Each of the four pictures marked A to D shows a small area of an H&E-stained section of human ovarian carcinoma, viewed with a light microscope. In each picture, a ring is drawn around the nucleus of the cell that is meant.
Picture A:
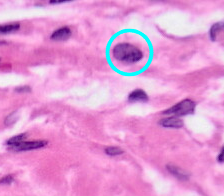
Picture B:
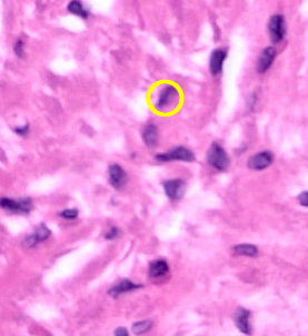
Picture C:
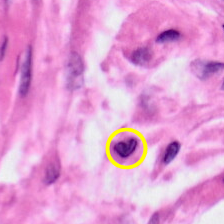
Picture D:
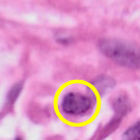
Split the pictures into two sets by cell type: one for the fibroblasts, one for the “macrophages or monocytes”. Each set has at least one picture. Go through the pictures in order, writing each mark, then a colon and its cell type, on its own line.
A: macrophage or monocyte
B: fibroblast
C: macrophage or monocyte
D: macrophage or monocyte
